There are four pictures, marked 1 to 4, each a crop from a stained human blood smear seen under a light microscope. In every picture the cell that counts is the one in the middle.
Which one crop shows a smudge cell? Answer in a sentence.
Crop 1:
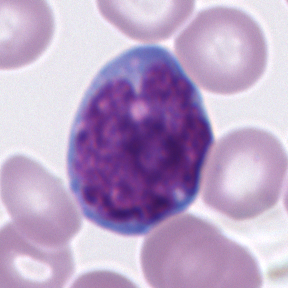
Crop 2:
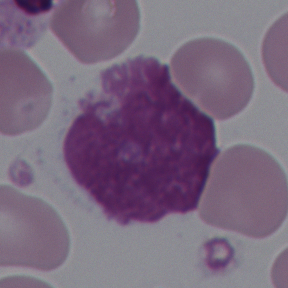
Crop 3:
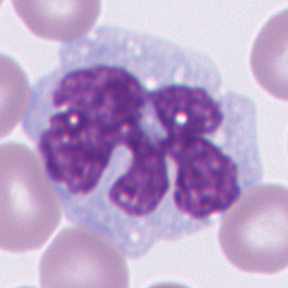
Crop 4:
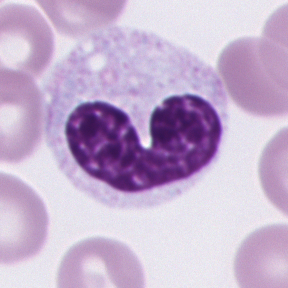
Crop 2 is the correct crop, and it shows a smudge cell.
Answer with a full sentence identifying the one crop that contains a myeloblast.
Crop 1 is the single crop that shows a myeloblast.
